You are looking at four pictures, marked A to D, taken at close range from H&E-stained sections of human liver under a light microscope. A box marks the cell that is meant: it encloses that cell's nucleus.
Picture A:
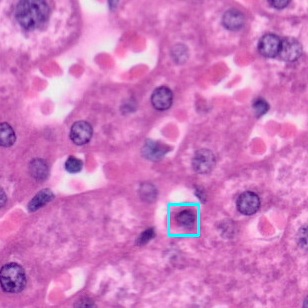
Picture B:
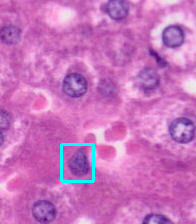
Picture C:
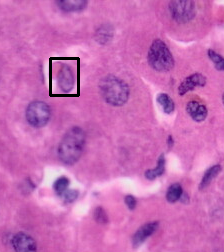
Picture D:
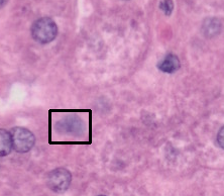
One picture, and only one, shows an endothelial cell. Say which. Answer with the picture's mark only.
D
